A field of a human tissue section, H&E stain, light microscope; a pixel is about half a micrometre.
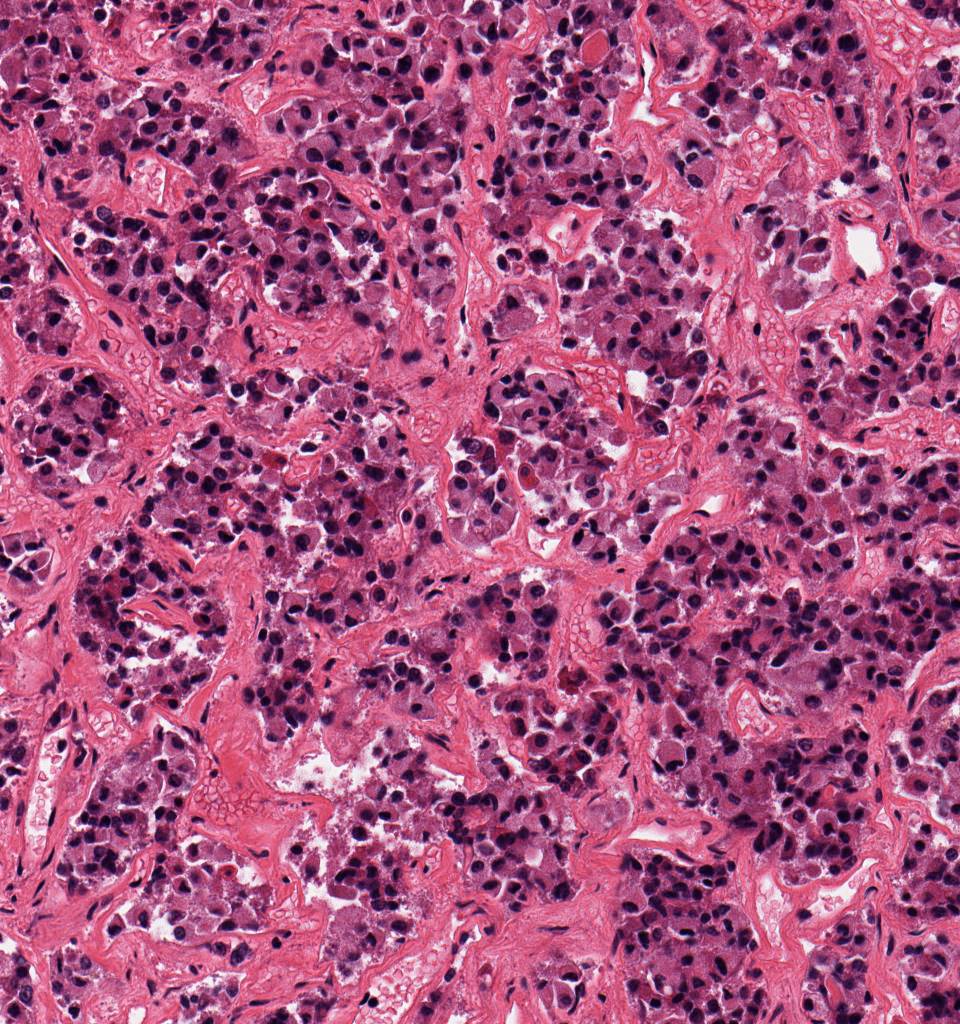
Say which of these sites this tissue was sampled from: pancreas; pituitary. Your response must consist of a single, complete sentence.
The source of this tissue sample is the pituitary.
